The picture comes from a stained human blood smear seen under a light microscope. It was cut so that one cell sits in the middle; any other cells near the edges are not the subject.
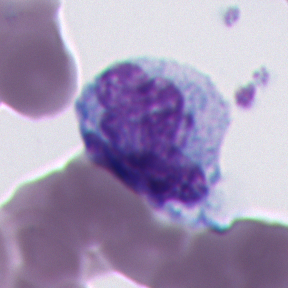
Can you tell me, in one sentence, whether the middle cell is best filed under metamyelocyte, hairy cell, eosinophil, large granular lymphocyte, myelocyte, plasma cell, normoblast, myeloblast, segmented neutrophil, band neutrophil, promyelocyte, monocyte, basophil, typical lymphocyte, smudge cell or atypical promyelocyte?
Standing at the centre of this crop is a monocyte.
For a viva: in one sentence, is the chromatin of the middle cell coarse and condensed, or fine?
There is no coarse clumping; the chromatin stays fine throughout.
